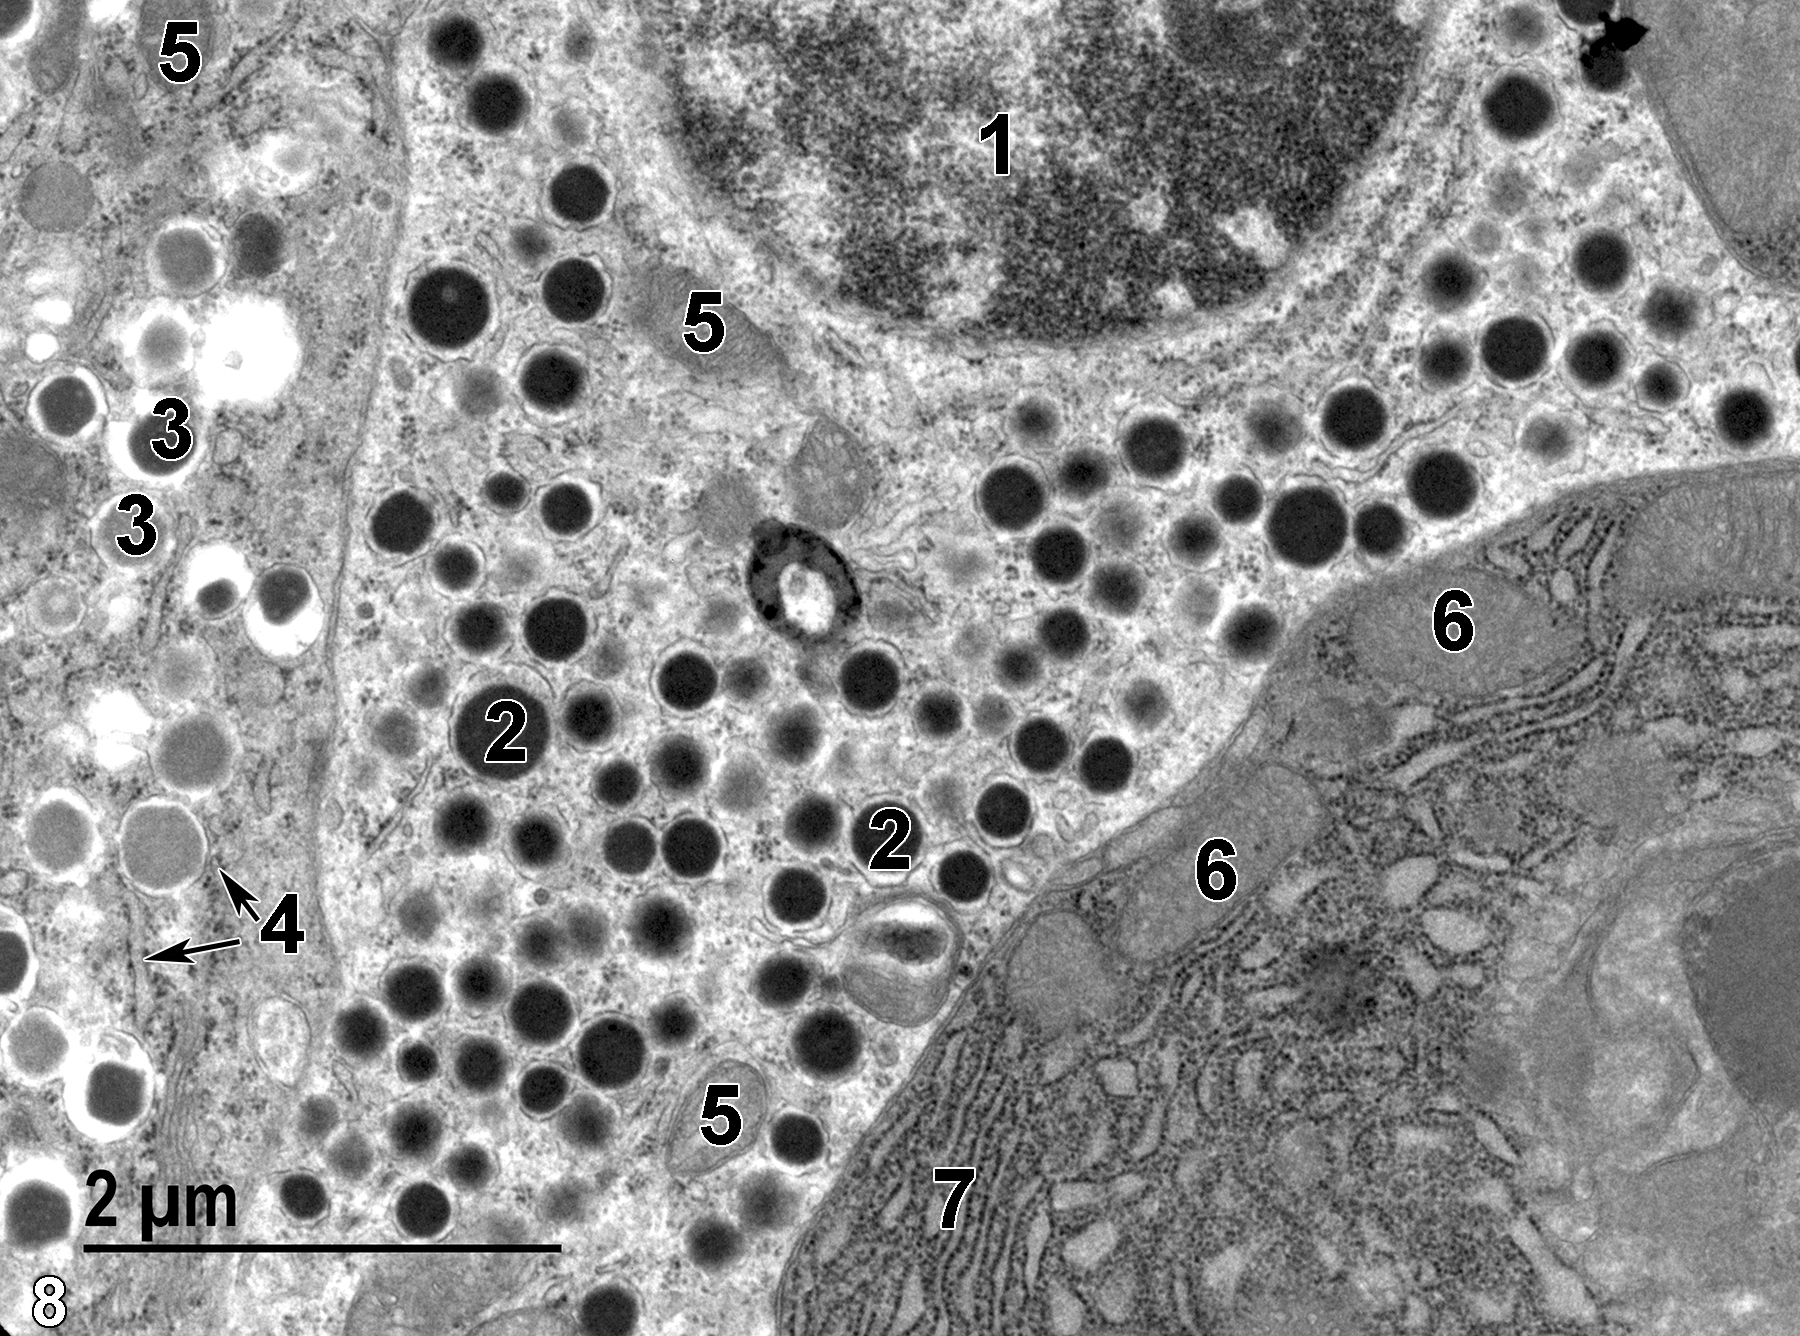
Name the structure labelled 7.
Rough endoplasmic reticulum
